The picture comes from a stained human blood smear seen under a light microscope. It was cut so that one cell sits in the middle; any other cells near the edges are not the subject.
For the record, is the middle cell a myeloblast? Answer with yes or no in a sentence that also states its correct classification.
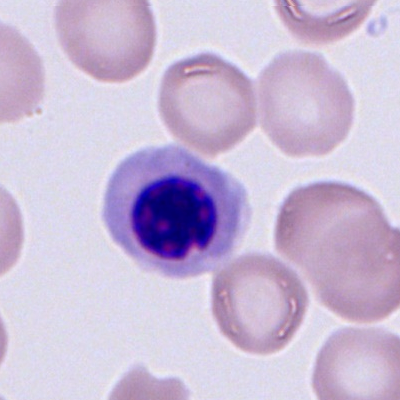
No, the central cell is not to be called a myeloblast, being an erythroblast.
